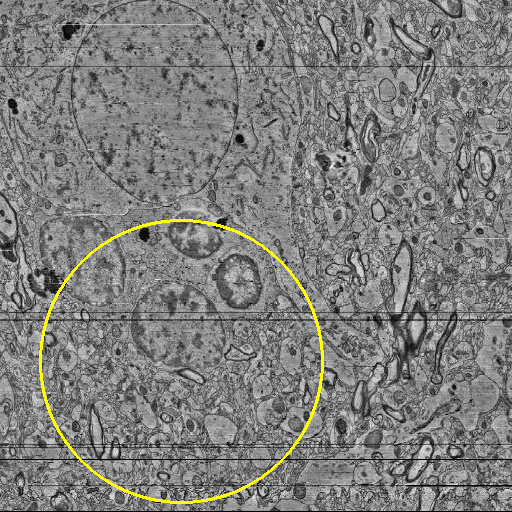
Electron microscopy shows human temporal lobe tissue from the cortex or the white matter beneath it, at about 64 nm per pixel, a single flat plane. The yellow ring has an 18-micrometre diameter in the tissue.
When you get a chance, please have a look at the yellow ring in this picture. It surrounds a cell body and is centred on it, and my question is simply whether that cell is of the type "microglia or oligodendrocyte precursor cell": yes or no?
No, the cell is of another type.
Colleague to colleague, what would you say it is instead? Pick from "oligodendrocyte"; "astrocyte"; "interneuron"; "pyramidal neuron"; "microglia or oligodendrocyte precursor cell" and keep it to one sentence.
Sitting at the ring centre is an oligodendrocyte.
